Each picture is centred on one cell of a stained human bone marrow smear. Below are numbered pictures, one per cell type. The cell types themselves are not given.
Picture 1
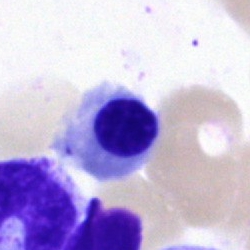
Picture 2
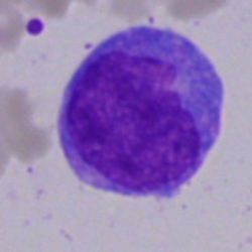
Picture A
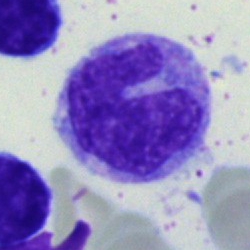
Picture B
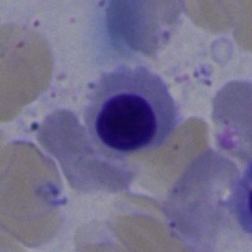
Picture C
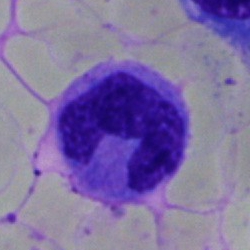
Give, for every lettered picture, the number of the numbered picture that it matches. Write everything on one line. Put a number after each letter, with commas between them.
A 2, B 1, C 2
